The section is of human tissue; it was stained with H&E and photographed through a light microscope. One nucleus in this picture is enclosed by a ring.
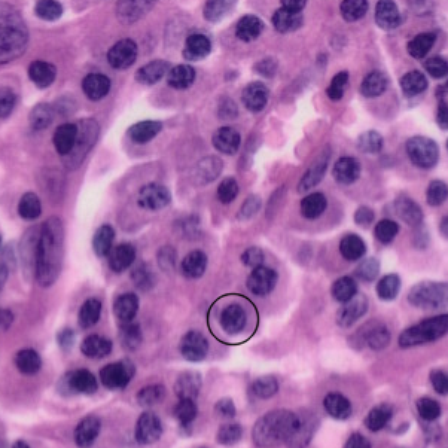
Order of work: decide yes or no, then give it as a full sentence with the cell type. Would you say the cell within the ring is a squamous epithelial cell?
No, that is wrong: the cell within the ring is a plasma cell, not a squamous epithelial cell.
